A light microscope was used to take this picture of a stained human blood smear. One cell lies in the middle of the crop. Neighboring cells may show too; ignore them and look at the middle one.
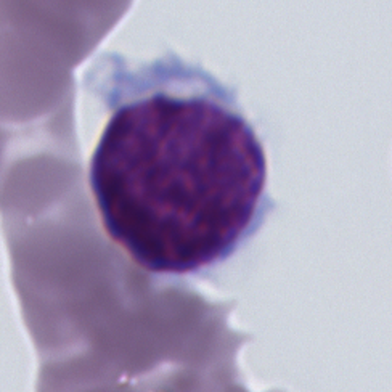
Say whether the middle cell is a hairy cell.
yes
